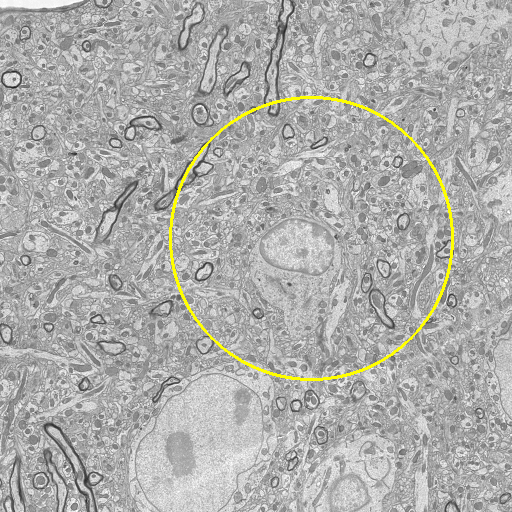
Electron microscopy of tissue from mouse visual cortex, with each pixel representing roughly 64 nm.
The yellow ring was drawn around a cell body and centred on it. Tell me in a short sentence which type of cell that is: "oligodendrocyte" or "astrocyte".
The cell at the ring's centre is an oligodendrocyte.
